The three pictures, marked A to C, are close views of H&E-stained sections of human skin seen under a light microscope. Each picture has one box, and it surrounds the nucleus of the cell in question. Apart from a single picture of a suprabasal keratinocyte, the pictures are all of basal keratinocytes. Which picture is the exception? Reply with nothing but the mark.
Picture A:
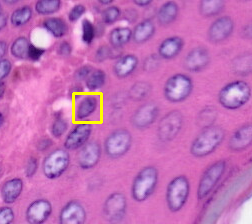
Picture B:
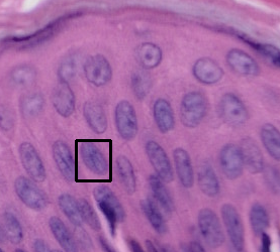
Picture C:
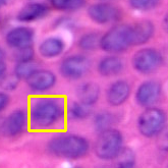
B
